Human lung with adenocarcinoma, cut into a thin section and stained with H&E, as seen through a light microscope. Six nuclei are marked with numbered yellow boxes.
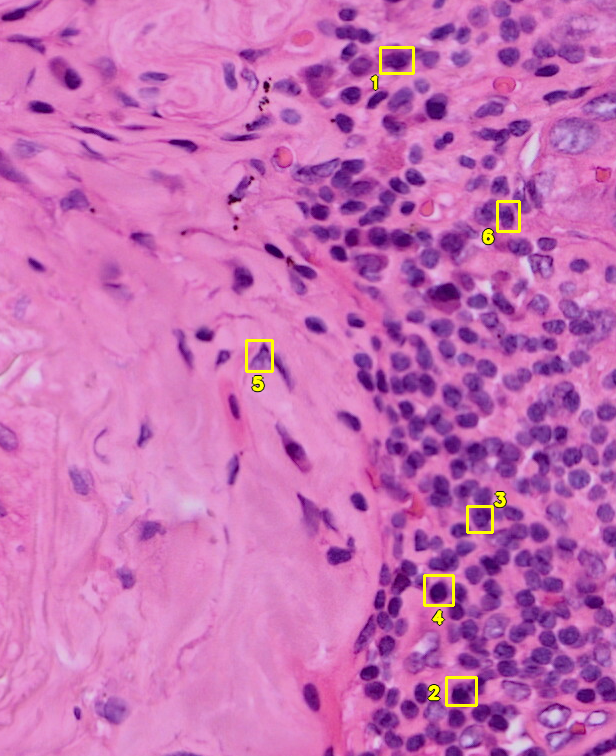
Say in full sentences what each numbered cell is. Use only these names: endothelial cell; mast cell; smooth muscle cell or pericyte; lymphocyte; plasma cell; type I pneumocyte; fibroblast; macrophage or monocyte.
Cell 1 is a plasma cell. Cells 2, 3, 4 and 6 are lymphocytes. Cell 5 is a fibroblast.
